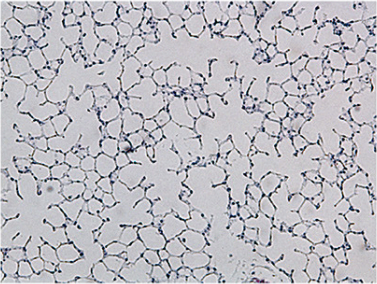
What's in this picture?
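This is normal-looking lung parenchyma at low magnification. Thin alveolar septa form a fine network around open, rounded airspaces. Small dark nuclei sit along the walls, and there is no thickening or dense fibrous tissue.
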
